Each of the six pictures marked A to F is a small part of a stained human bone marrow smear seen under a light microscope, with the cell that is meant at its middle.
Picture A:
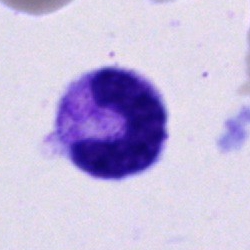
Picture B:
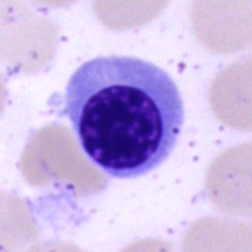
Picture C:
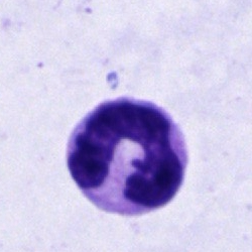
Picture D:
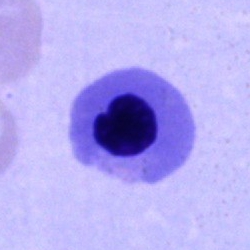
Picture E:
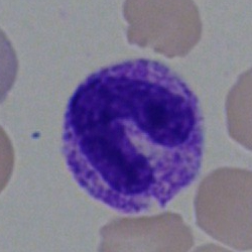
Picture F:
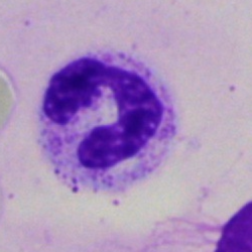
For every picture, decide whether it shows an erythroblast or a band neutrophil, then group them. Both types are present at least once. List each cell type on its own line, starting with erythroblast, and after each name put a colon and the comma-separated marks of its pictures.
erythroblast: B, D
band neutrophil: A, C, E, F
